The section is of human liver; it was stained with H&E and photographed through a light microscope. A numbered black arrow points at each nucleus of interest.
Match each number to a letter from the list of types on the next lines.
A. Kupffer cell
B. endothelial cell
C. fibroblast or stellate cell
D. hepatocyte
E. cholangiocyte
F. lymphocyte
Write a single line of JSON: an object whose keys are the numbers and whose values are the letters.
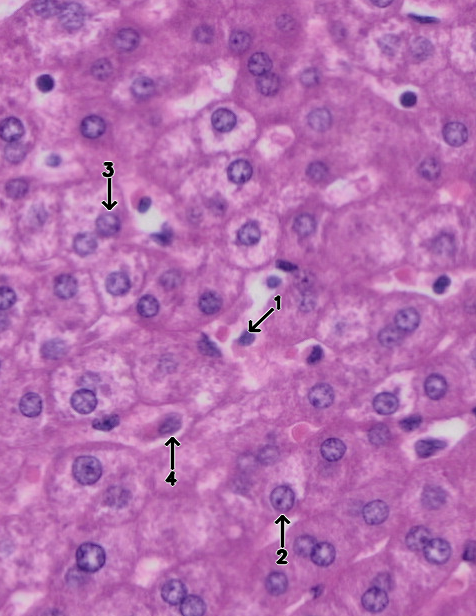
{"1": "F", "2": "D", "3": "D", "4": "A"}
